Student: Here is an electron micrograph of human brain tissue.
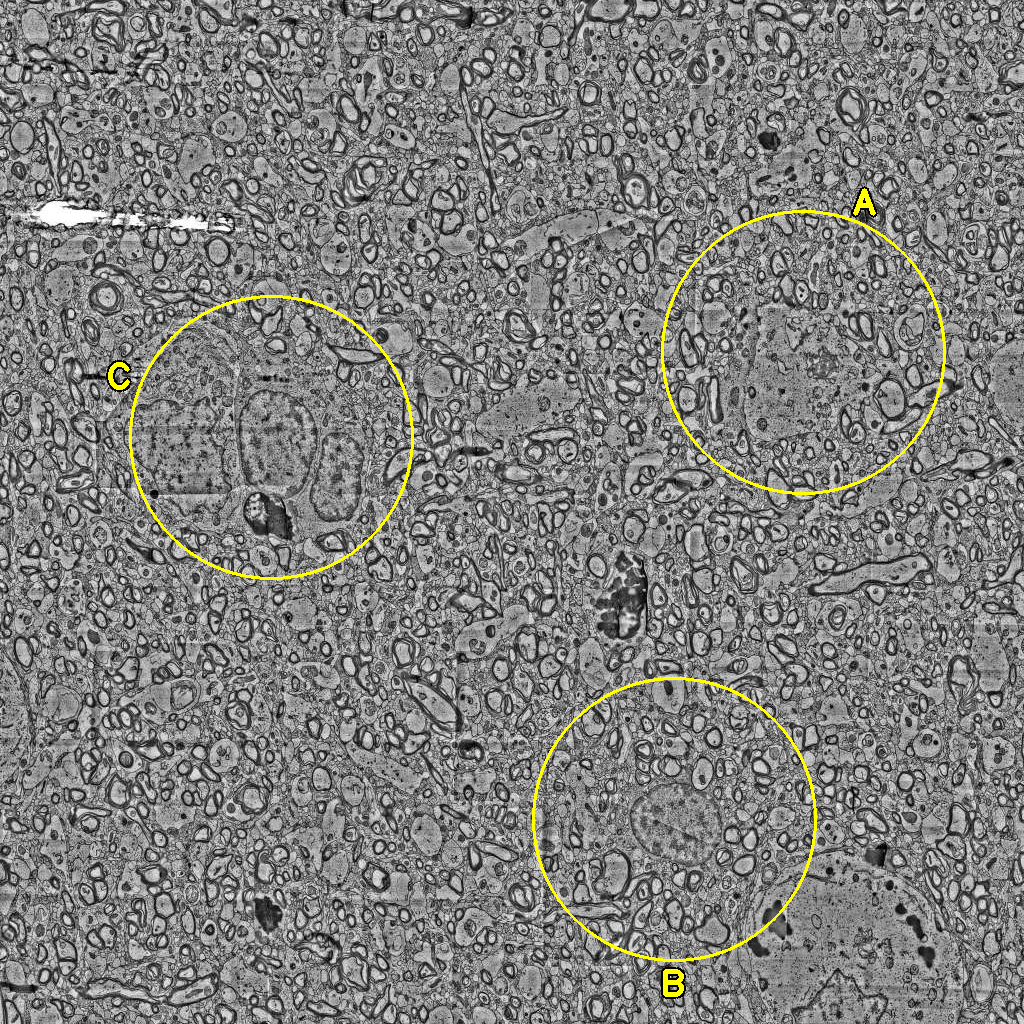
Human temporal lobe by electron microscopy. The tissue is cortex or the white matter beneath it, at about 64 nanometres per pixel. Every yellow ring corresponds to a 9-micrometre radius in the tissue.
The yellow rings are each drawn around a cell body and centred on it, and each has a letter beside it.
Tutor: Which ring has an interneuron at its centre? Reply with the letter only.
A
